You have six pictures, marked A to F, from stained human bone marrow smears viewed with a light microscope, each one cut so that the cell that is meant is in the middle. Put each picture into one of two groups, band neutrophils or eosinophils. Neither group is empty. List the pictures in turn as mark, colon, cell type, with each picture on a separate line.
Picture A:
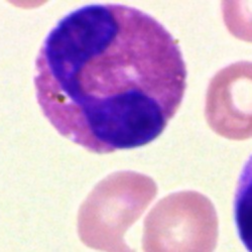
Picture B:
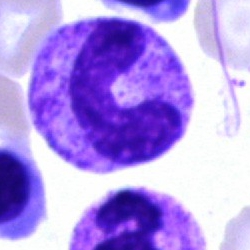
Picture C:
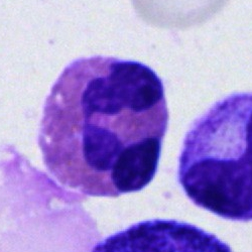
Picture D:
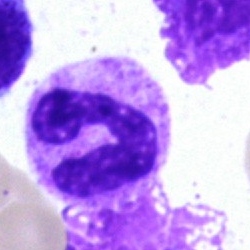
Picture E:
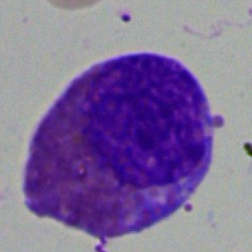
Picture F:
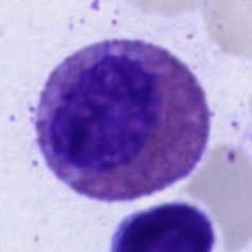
A: eosinophil
B: band neutrophil
C: eosinophil
D: band neutrophil
E: eosinophil
F: eosinophil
